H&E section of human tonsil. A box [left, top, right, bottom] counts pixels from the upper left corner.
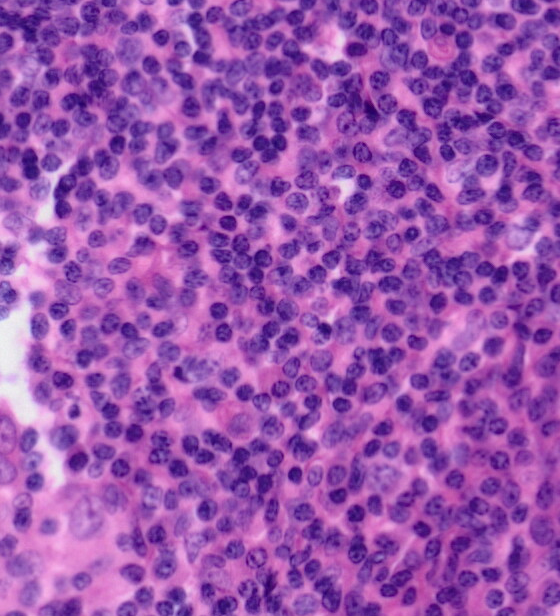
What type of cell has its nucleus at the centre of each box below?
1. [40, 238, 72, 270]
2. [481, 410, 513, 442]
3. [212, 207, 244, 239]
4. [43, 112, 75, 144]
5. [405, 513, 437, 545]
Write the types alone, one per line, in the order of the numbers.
small lymphocyte
plasma cell
small lymphocyte
small lymphocyte
plasma cell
